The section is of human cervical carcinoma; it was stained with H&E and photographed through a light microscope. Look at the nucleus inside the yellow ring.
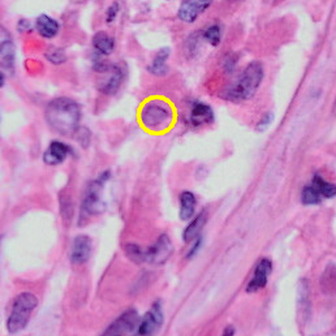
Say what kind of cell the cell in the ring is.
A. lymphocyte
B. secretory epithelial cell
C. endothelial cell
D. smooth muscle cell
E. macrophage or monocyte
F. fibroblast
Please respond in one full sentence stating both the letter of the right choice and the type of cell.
Option E stands as correct, with the cell in the ring being a macrophage or monocyte.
